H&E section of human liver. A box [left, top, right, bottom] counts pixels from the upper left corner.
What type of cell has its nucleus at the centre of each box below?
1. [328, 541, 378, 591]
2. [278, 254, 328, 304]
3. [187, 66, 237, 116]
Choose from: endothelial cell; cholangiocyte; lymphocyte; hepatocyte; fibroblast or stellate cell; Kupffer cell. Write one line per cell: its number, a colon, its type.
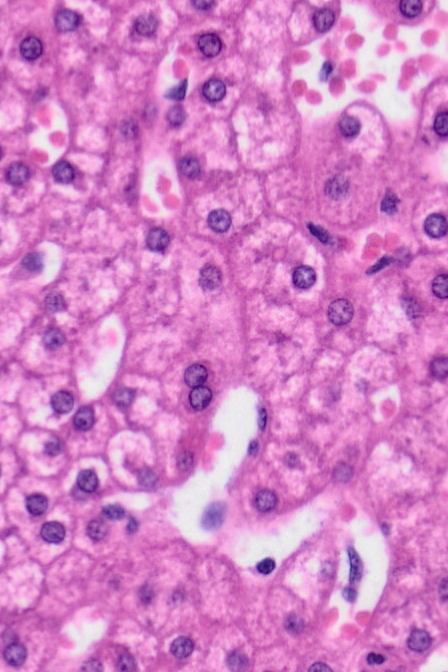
1: Kupffer cell
2: hepatocyte
3: hepatocyte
